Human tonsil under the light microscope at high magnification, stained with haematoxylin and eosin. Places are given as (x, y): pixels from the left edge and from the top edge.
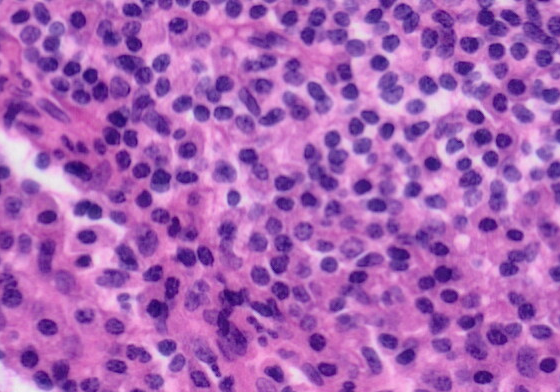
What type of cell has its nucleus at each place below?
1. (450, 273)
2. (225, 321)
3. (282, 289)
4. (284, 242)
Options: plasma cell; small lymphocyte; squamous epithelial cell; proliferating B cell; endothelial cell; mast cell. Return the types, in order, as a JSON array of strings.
["plasma cell", "endothelial cell", "plasma cell", "plasma cell"]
